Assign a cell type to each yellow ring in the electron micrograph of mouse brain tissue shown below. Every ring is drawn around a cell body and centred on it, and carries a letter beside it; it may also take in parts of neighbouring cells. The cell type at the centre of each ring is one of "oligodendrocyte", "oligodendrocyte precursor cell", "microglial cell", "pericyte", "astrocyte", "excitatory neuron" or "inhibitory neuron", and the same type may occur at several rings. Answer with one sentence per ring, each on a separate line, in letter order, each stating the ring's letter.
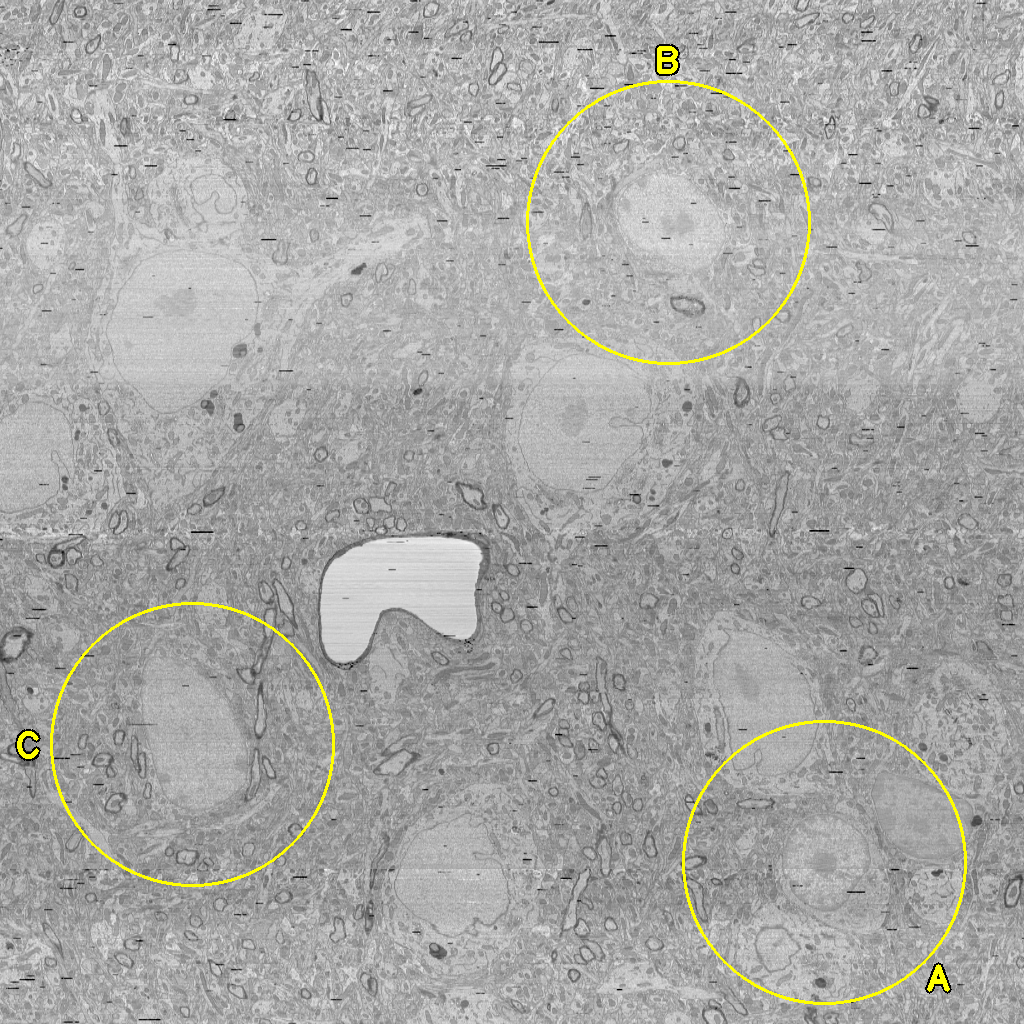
The cell at ring A's centre is an oligodendrocyte.
The cell at ring B's centre is an astrocyte.
The cell at ring C's centre is an astrocyte.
